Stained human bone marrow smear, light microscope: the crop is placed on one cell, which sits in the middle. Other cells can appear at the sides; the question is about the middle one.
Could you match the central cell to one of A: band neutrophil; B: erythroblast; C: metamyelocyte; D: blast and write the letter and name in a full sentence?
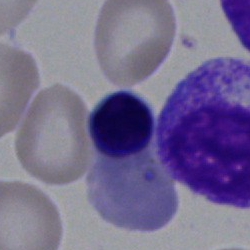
The central cell in this crop is an erythroblast, so the correct choice is option B.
